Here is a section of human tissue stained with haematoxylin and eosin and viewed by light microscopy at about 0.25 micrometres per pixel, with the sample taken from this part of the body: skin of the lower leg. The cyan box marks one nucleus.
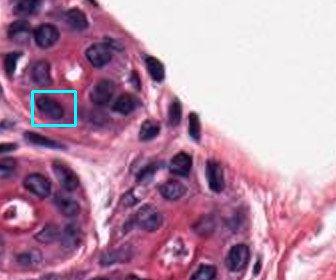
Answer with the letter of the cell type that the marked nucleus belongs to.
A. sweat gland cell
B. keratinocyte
A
